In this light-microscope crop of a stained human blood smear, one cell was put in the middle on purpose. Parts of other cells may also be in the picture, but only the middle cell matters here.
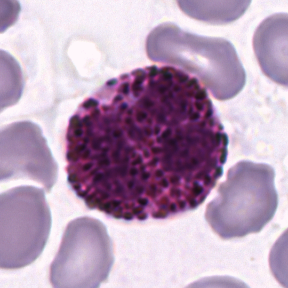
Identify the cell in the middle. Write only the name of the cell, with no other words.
basophil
